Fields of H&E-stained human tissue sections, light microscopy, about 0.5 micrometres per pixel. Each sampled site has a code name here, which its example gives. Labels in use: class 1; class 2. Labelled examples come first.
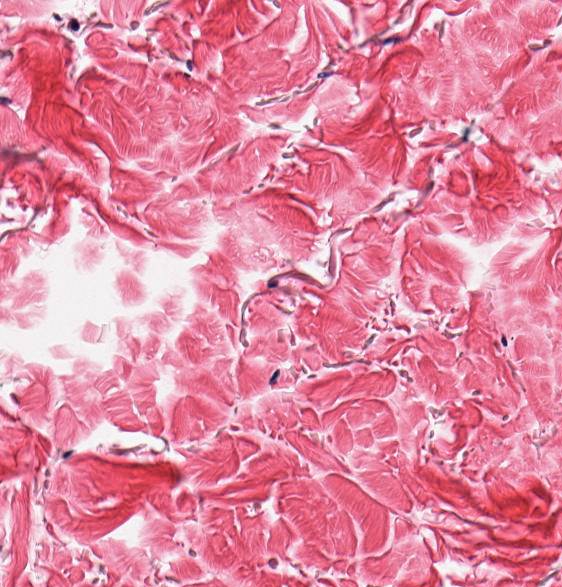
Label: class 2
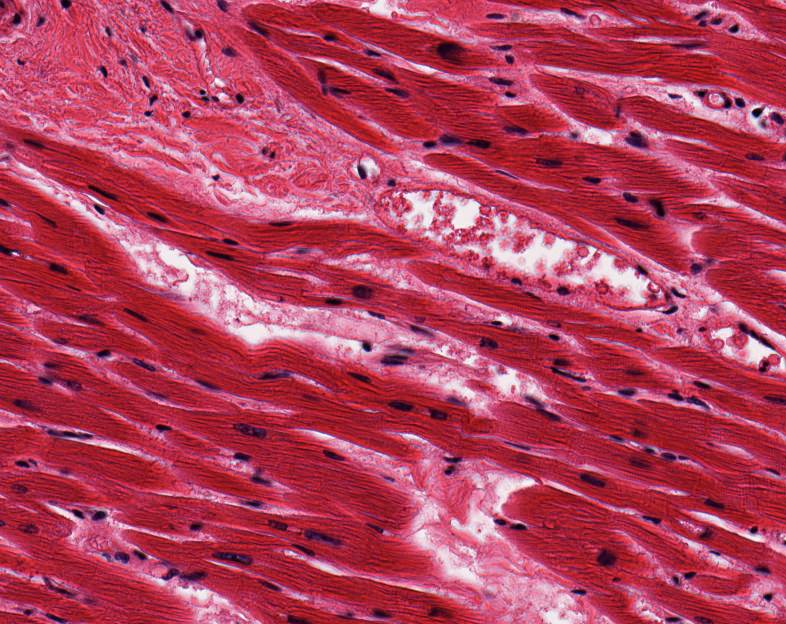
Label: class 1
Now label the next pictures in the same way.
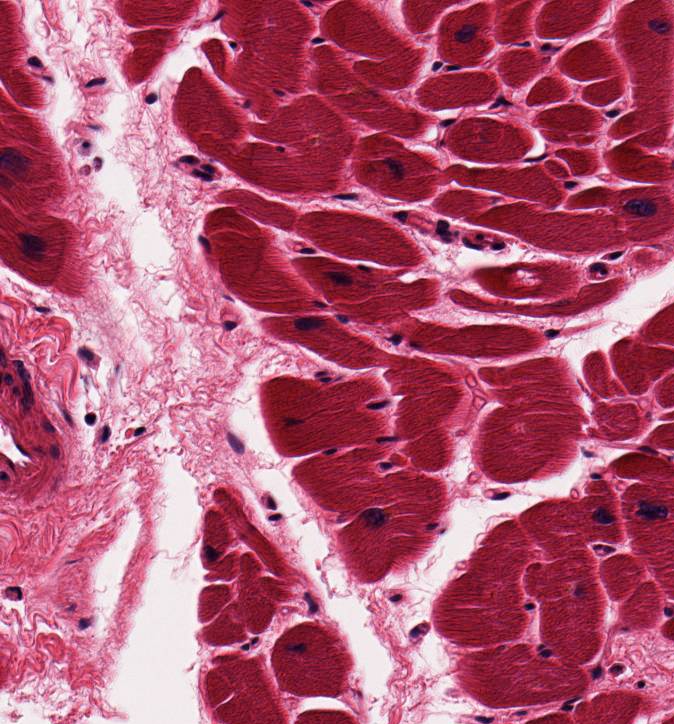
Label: class 1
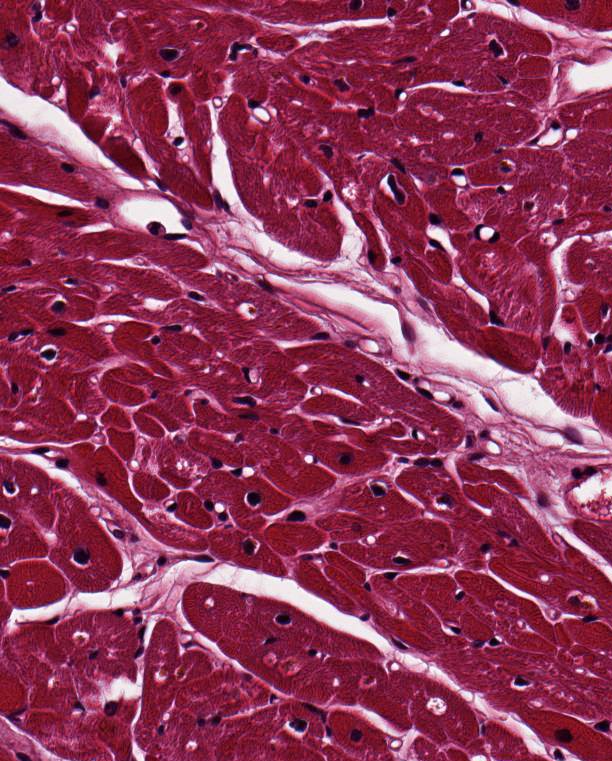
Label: class 1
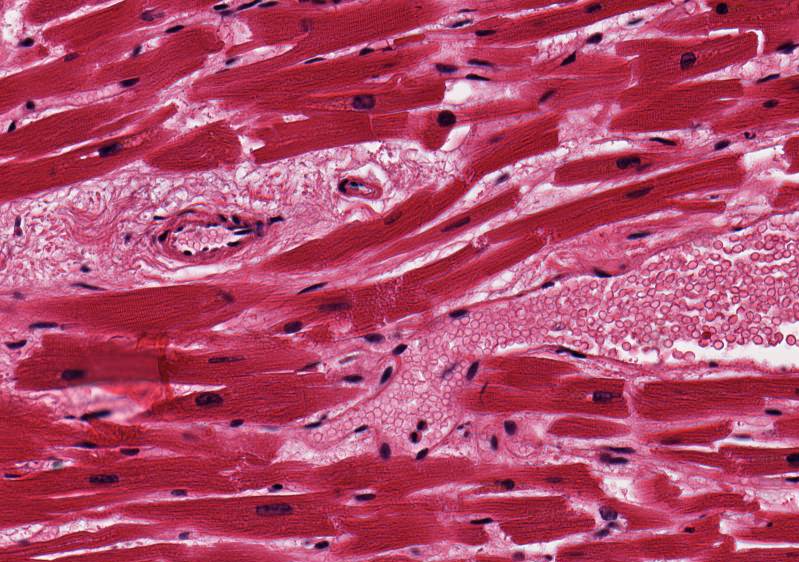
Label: class 1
